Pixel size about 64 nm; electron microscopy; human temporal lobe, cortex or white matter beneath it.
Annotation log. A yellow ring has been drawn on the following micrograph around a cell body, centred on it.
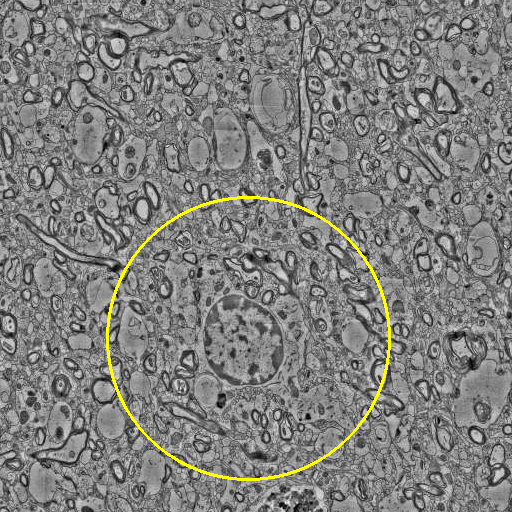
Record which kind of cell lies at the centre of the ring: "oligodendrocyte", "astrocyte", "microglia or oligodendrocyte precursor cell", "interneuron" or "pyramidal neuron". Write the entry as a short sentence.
The cell the ring is centred on is a microglial cell or oligodendrocyte precursor cell.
